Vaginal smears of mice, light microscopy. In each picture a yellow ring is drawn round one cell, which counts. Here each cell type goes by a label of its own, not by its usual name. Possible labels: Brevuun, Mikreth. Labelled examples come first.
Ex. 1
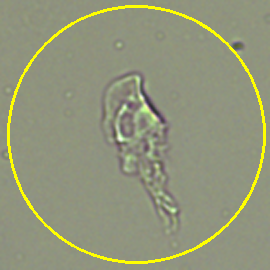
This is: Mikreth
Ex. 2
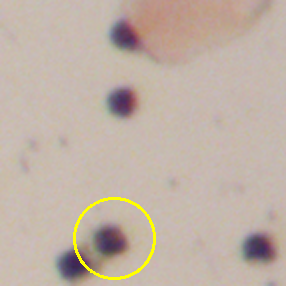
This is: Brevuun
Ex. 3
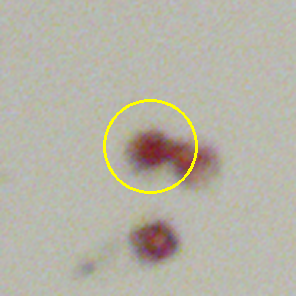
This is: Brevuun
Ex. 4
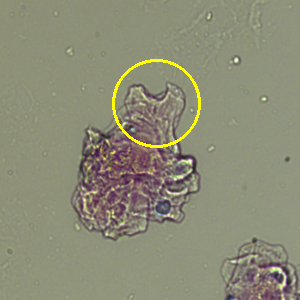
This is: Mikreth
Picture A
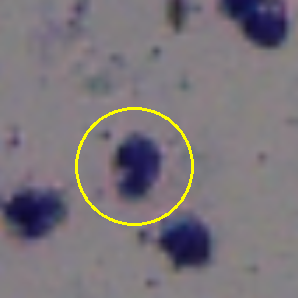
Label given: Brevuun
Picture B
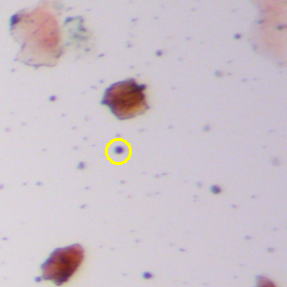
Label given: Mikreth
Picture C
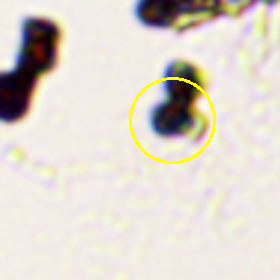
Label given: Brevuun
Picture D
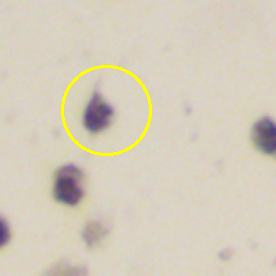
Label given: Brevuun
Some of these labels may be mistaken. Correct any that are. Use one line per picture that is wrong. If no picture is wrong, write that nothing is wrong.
Wrong: B (Mikreth); correct: Brevuun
